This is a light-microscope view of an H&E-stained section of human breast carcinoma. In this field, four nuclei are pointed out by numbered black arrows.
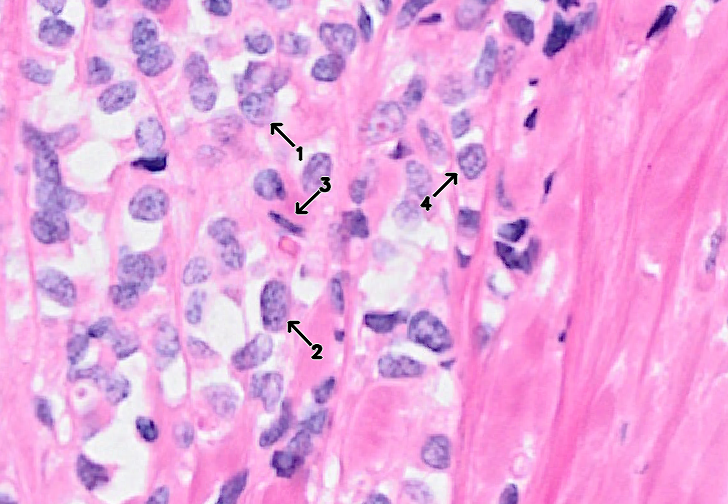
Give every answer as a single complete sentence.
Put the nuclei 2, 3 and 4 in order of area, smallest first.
Smallest first, the nuclei run 3, 4, 2.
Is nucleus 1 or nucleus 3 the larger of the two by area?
Of the two, number 1 is bigger and takes up about 2.5 times the area of number 3.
